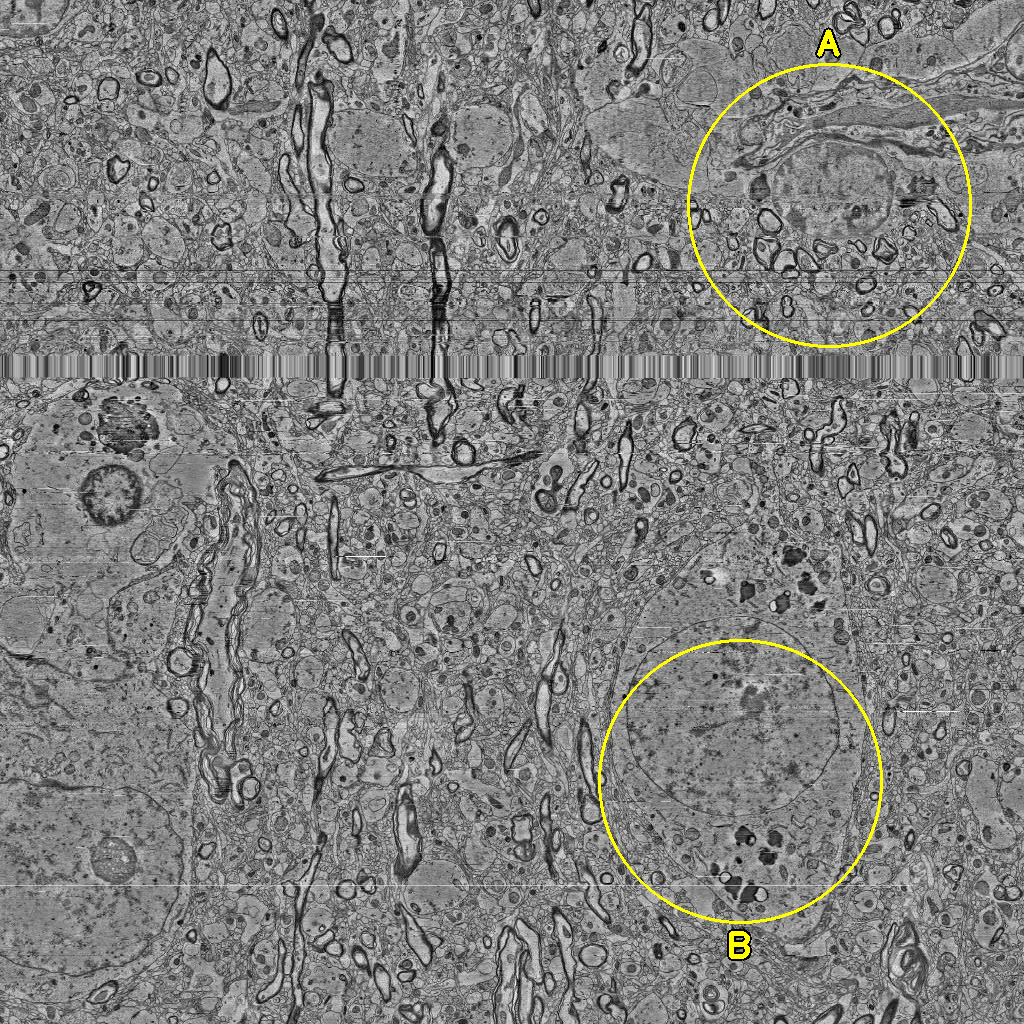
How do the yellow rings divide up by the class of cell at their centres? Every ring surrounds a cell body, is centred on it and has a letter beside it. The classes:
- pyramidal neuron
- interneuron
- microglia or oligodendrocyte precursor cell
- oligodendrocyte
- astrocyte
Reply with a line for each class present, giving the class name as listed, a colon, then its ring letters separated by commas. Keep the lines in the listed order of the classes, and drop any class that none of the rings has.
pyramidal neuron: B
oligodendrocyte: A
